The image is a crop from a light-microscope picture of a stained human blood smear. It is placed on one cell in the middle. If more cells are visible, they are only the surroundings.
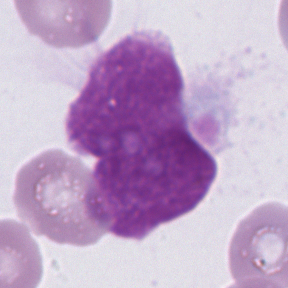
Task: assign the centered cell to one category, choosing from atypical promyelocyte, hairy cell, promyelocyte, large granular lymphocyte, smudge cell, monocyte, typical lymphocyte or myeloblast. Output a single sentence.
Here the cell in the middle is a smudge cell.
